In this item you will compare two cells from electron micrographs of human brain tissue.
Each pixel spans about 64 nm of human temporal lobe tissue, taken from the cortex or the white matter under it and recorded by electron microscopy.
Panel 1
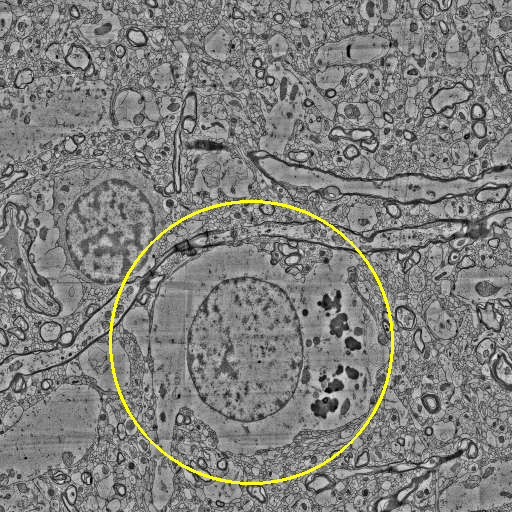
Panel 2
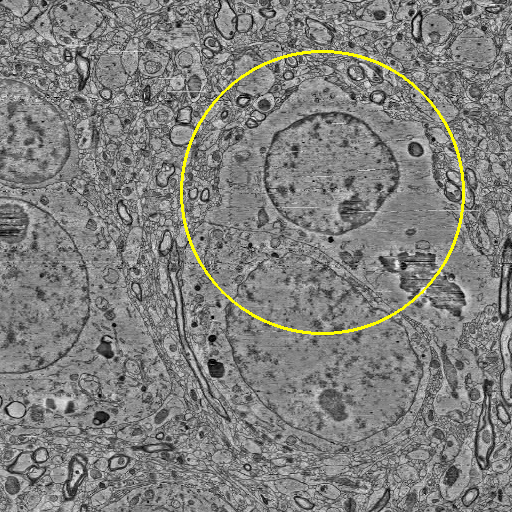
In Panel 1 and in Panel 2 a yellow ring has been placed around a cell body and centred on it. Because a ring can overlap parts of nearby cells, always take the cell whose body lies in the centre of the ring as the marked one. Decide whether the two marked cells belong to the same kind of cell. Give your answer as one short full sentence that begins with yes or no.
Yes, the two marked cells belong to the same kind of cell.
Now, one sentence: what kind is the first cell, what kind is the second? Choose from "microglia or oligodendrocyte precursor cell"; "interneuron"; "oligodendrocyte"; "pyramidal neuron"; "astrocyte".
In the first picture and in the second, the ring is centred on an astrocyte.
